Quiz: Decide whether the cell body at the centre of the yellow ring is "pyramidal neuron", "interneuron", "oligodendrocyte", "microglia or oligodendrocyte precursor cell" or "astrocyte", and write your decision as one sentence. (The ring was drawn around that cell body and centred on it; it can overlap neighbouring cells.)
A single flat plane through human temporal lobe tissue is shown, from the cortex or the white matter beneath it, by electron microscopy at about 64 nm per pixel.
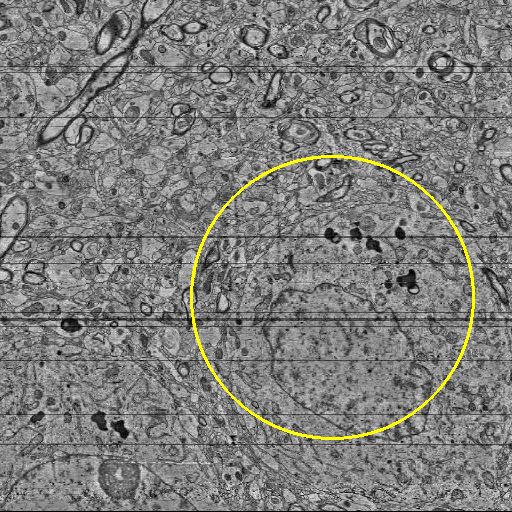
The cell the ring is centred on is a pyramidal neuron.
